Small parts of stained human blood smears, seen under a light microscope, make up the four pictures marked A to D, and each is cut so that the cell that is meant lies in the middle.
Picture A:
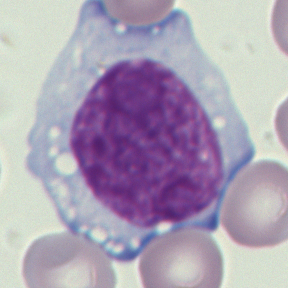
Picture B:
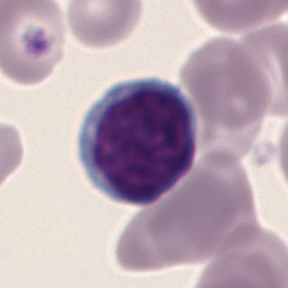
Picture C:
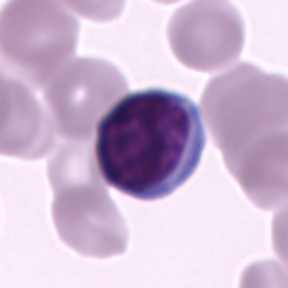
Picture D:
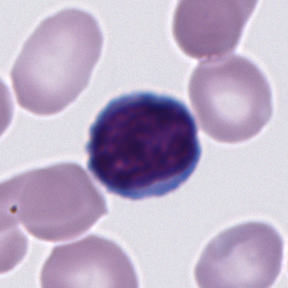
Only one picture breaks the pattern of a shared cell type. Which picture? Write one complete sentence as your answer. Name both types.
Picture A differs, because its cell is a myeloblast and the rest are typical lymphocytes.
